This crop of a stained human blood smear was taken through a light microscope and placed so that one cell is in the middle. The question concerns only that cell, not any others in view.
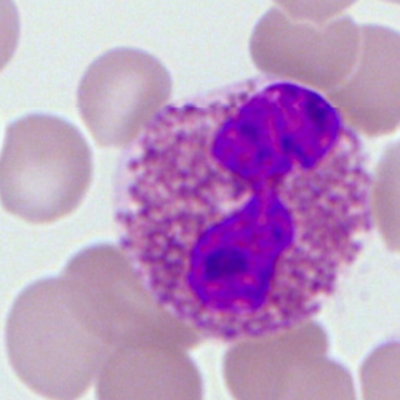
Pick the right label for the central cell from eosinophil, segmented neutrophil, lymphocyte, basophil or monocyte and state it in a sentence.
Seen at the centre of the crop is an eosinophil.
